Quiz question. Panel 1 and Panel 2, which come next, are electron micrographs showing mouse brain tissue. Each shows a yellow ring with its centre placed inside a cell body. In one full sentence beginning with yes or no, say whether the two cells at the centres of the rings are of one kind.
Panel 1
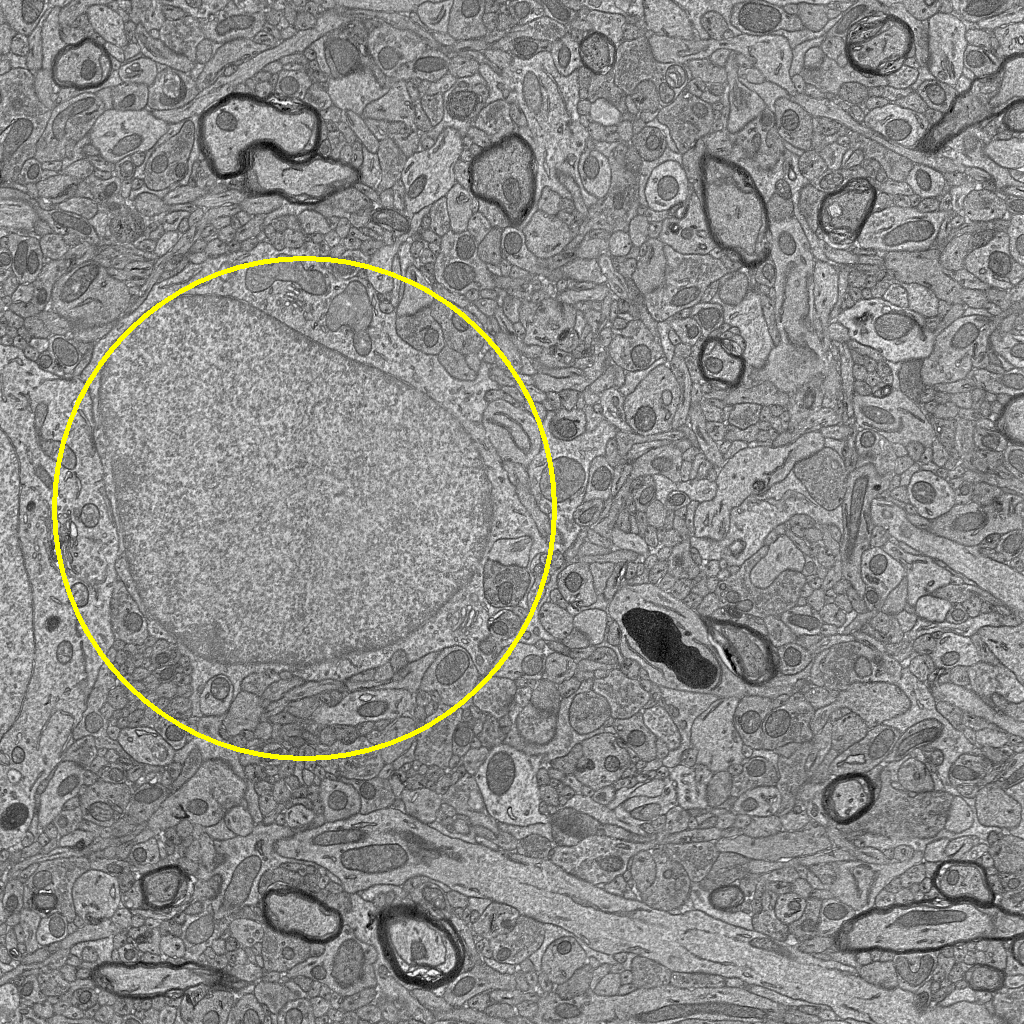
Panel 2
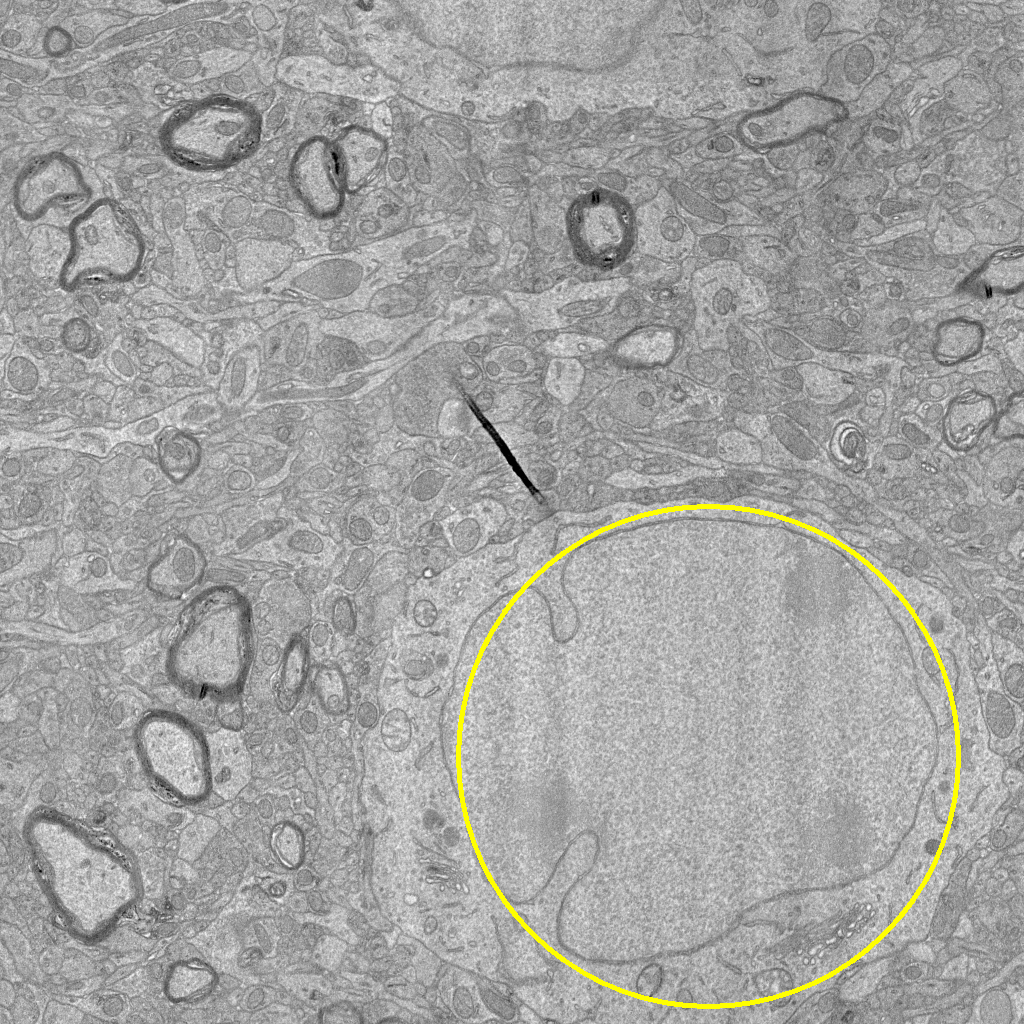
No, Panel 1 and Panel 2 show two kinds of cell at the centre of the ring.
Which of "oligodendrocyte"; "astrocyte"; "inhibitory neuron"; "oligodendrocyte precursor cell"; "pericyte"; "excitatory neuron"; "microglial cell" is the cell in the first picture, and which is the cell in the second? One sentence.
The first cell is an astrocyte; the second is an excitatory neuron.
